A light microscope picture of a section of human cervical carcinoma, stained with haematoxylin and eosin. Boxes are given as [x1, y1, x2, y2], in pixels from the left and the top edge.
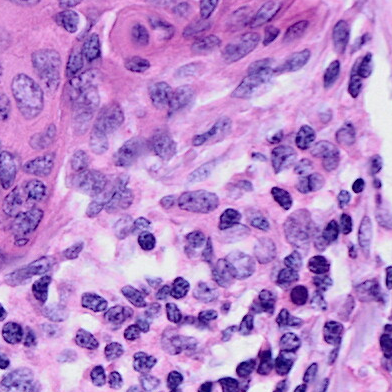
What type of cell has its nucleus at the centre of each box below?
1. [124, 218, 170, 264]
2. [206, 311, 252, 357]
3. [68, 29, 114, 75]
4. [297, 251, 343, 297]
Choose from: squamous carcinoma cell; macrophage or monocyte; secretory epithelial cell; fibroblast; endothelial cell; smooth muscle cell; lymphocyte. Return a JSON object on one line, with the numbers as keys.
{"1": "lymphocyte", "2": "lymphocyte", "3": "squamous carcinoma cell", "4": "lymphocyte"}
